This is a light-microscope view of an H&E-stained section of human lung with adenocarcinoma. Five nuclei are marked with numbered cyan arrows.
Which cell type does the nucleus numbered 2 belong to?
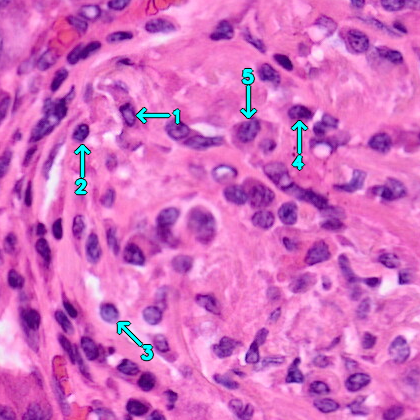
lymphocyte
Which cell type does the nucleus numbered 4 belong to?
plasma cell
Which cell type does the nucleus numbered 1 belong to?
plasma cell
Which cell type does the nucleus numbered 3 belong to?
lymphocyte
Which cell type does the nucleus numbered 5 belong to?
plasma cell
